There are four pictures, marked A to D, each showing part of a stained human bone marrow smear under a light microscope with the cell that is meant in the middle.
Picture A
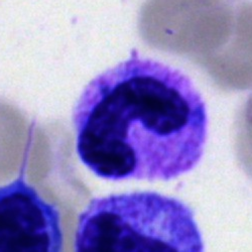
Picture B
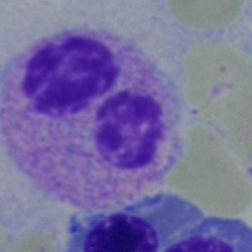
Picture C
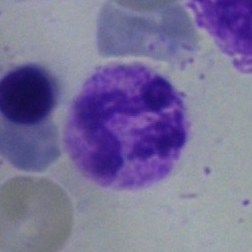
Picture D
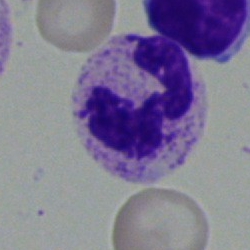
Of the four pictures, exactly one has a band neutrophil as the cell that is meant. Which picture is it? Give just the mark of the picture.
A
